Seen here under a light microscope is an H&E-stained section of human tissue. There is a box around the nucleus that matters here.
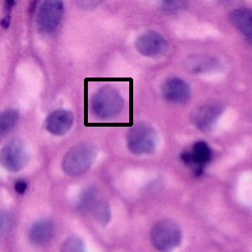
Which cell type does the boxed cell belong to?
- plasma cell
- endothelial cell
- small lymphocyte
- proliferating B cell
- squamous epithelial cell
squamous epithelial cell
